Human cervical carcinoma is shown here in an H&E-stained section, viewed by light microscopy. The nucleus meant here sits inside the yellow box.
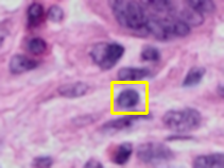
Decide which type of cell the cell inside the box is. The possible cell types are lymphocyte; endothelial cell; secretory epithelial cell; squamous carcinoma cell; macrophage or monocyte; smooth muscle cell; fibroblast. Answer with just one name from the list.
lymphocyte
